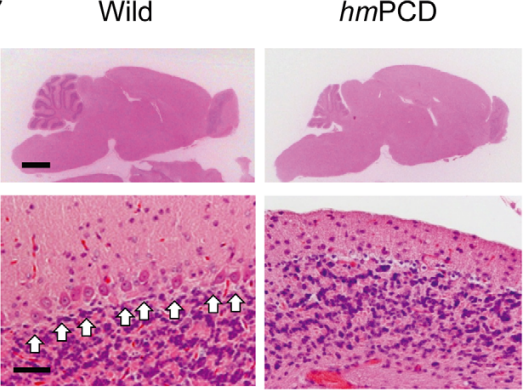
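The top row shows whole-brain sagittal sections stained pink, with the folded cerebellum at the back of the brain. The high-power view of the left cerebellar cortex shows a pale pink outer molecular layer with scattered nuclei, a dense inner layer of small, tightly packed dark-purple granule cell nuclei, and between them a single row of large Purkinje cell bodies with abundant pink cytoplasm, marked by white arrows. In the right high-power view, the molecular and granular layers are still present, but the row of large cell bodies at their border cannot be made out.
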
